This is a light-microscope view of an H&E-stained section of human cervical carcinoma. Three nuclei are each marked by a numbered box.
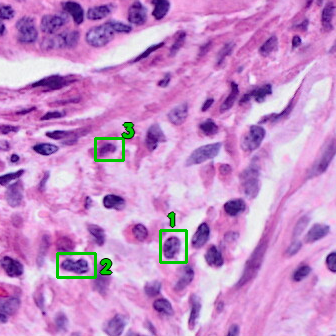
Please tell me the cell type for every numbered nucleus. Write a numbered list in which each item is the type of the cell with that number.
1. lymphocyte
2. lymphocyte
3. fibroblast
